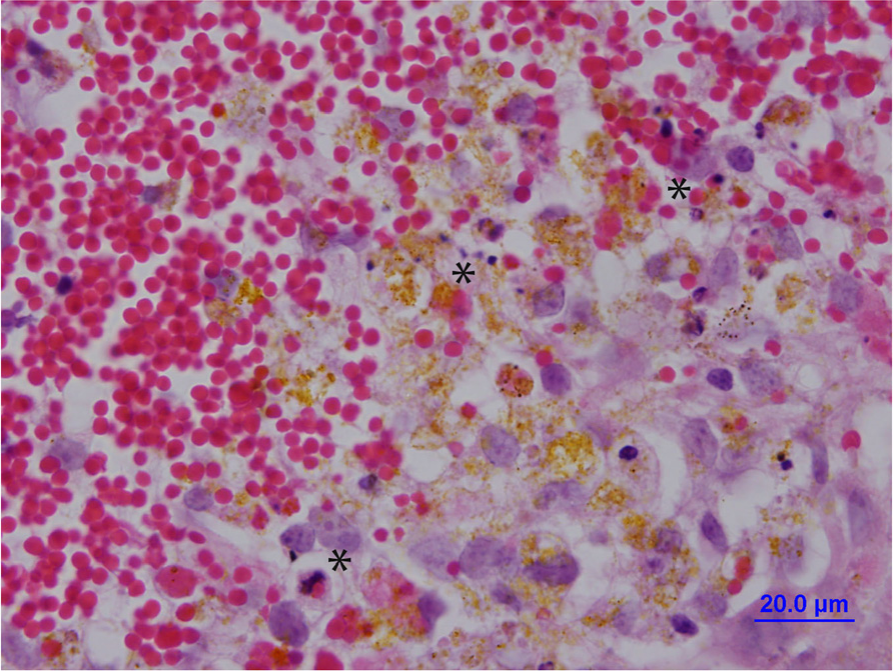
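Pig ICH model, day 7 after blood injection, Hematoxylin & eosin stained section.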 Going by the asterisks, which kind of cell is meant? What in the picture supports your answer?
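Large cells with pale, vacuolated cytoplasm lie beside the asterisks. Round red bodies lie within or against these large cells.
Hence: phagocytes.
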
